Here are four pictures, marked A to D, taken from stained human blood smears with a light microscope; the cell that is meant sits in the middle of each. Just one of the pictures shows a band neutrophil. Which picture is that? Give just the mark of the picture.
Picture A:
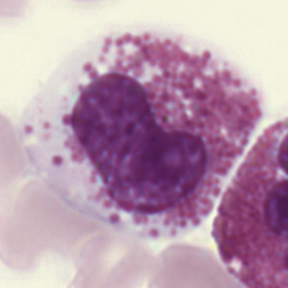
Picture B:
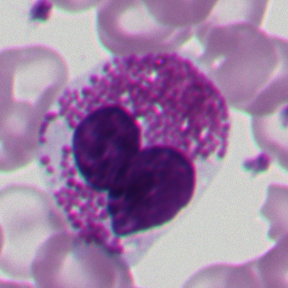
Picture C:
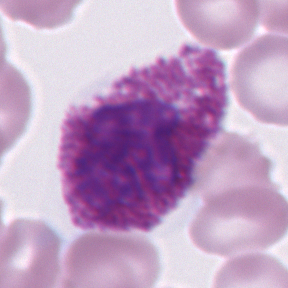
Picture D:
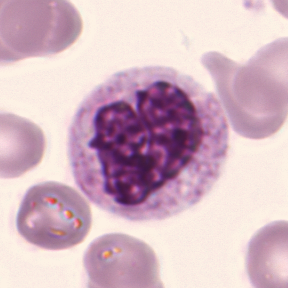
D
